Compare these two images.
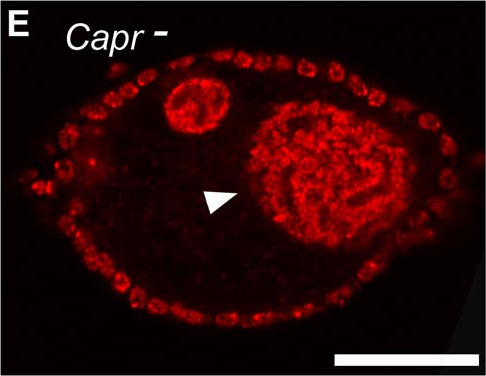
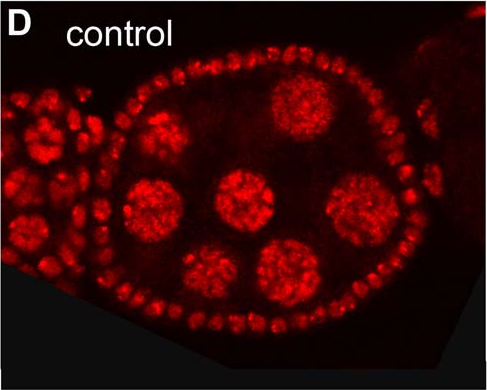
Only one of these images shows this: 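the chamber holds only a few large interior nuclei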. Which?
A: The first image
